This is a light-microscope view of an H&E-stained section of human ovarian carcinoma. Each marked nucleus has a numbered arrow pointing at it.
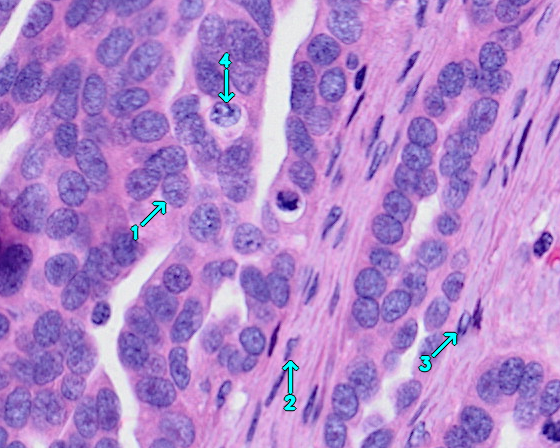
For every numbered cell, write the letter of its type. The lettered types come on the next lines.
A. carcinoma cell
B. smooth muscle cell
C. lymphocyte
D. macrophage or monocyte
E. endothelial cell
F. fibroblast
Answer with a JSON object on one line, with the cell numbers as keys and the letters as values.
{"1": "A", "2": "F", "3": "F", "4": "D"}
